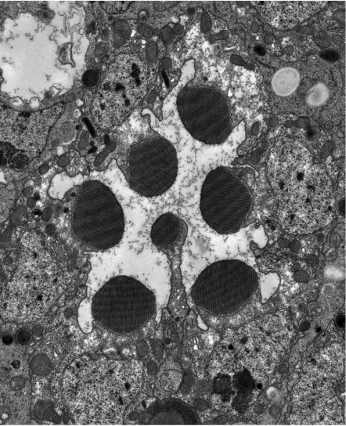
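Transmission electron micrograph of an ommatidium in cross-section. Seven dark, round to oval rhabdomeres with a fine regular striated texture are arranged in a ring around a pale central space, one of them smaller and placed more centrally. Each rhabdomere sits at the inner edge of its photoreceptor cell body; the cell bodies form a rosette around the central space and contain mitochondria and membrane profiles in a granular cytoplasm. Beyond the rosette lie neighbouring cells with scattered very dark granules. The pale central space carries wisps of flocculent material.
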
